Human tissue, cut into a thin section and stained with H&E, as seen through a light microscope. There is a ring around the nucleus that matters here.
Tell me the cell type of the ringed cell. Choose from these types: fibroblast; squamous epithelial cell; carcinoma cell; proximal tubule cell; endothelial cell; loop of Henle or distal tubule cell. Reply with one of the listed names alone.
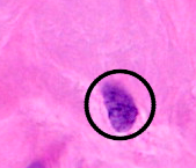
fibroblast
